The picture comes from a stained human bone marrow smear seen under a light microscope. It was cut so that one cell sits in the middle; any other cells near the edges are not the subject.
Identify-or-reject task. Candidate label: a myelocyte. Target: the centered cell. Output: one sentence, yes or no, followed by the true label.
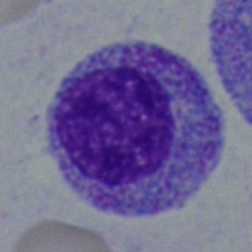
Yes, the middle cell of the field is a myelocyte.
